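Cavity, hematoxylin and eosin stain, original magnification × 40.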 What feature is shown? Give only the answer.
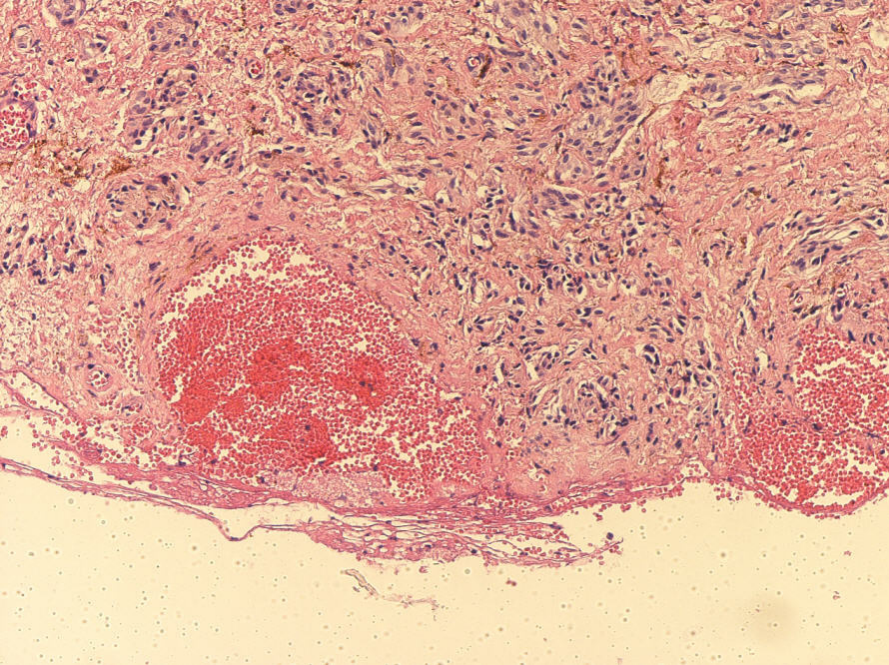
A: blood-filled, nonendothelial lined pseudovascular spaces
